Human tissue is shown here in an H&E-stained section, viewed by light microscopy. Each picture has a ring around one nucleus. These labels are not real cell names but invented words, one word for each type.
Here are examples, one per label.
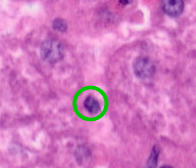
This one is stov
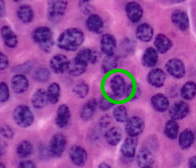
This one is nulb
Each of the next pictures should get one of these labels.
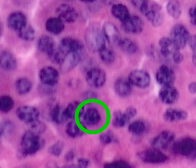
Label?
nulb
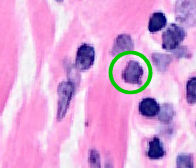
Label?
stov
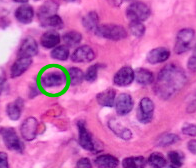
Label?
stov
